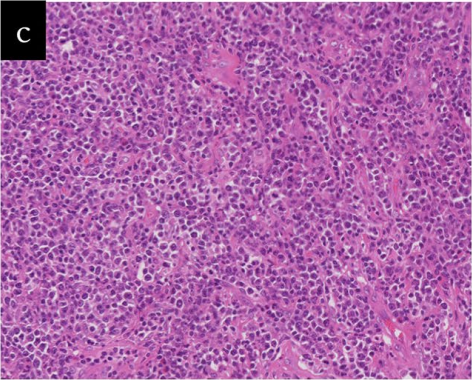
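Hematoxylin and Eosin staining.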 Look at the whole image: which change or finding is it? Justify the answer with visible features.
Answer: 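Monotonous sheets of densely packed cells fill the field. Cells have dark nuclei and scant cytoplasm.
Hence: homogeneous cell proliferation.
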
